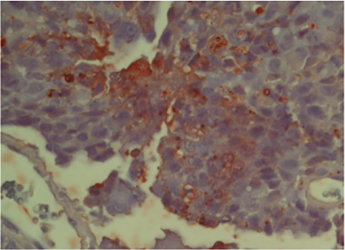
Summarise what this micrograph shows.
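This is a section of tumor tissue with sheets of crowded tumor cells bordered by a clear space and a thin strip of stroma. The cells have large purple nuclei and are packed closely together. Numerous cells show red-brown granular staining, often as small fragmented bodies.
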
